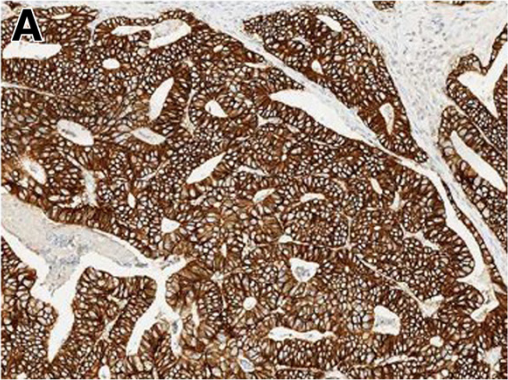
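This is an adenocarcinoma at low magnification, in which large, closely packed nests of tumor cells form many small gland-like spaces and slit-like lumens. Nearly every tumor cell is outlined by a thick, dark brown membrane stain, giving the nests a honeycomb or chicken-wire look, with the pale nuclei visible inside each outline. The nests are separated by bands of pale, lightly cellular fibrous stroma that take no brown stain, and a few larger empty spaces containing pale material lie at the left and lower edges.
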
